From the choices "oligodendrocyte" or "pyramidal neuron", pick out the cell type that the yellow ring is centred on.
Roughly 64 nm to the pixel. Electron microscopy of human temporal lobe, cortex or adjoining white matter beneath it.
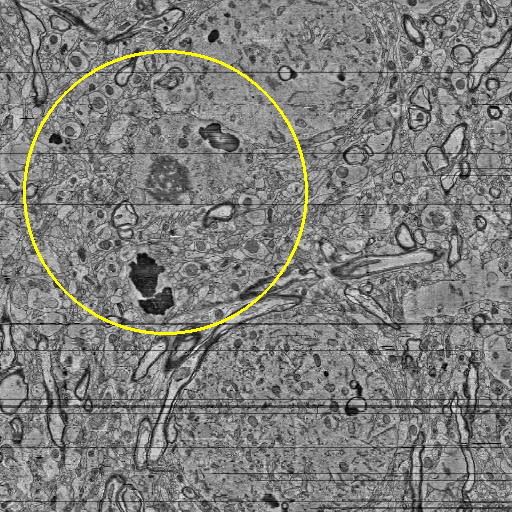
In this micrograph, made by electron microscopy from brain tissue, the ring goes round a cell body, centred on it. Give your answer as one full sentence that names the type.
The yellow ring is centred on an oligodendrocyte, whose cell body it encircles in the picture.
